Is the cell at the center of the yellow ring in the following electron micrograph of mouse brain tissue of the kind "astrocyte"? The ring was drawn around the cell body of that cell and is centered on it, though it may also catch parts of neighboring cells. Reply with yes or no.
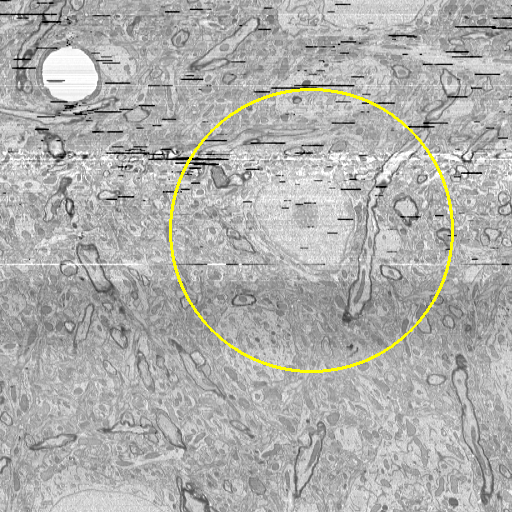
Yes, that is its kind.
